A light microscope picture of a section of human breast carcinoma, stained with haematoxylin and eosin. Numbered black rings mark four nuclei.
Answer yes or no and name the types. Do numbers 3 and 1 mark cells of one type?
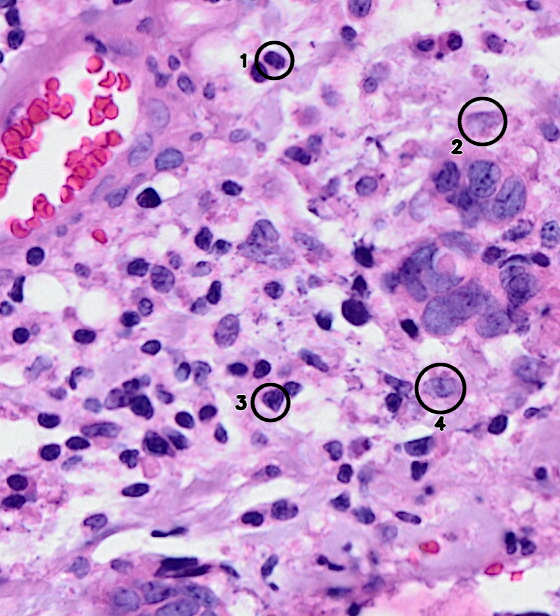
Yes, cells 3 and 1 both qualify as lymphocytes.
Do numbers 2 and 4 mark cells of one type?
No, the cell numbered 2 is a fibroblast, and the cell numbered 4 is a macrophage, monocyte or dendritic cell.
